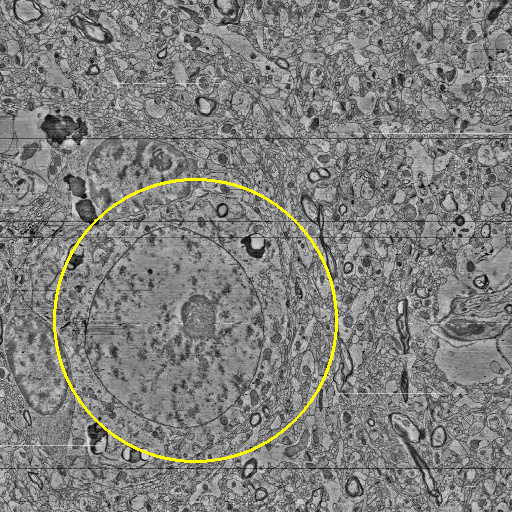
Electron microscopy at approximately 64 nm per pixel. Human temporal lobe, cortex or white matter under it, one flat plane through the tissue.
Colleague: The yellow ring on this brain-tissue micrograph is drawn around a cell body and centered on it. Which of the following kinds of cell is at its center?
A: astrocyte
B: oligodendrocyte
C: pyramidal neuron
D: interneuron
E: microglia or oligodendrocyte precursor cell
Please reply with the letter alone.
C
